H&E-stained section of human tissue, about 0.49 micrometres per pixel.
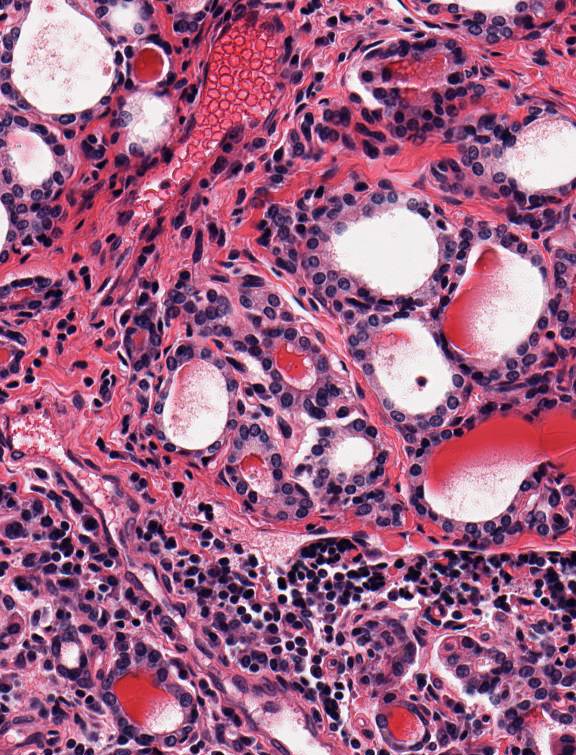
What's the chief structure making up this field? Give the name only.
thyroid follicle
